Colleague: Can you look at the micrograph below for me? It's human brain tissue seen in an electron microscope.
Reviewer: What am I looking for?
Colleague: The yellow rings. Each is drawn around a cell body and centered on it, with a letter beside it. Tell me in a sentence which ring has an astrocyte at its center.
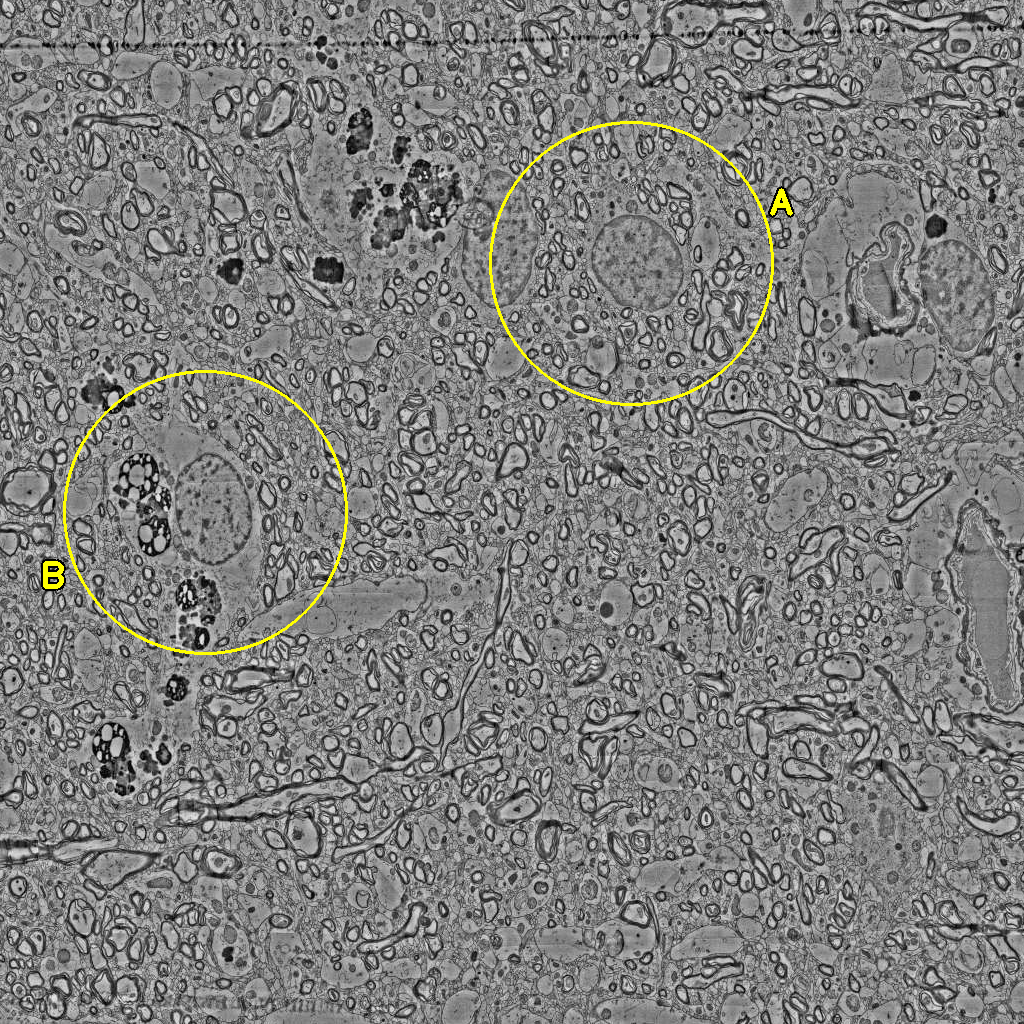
It's the cell in ring B.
